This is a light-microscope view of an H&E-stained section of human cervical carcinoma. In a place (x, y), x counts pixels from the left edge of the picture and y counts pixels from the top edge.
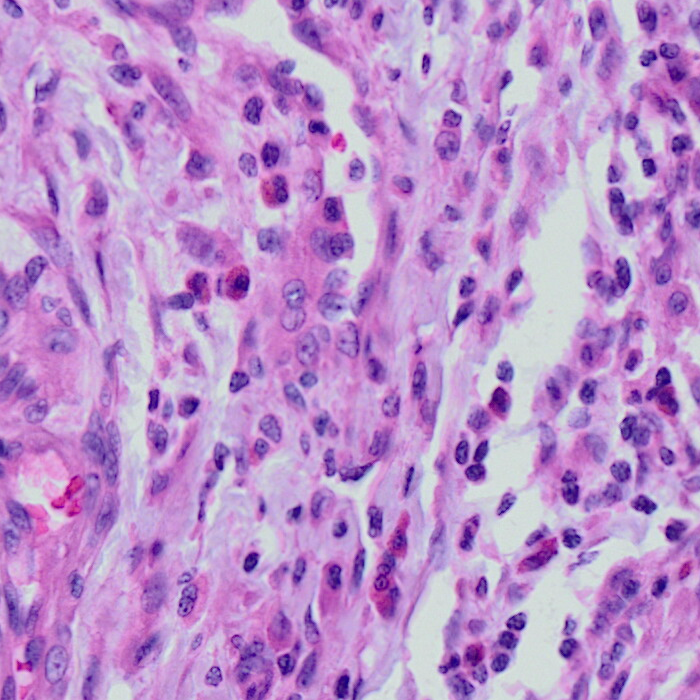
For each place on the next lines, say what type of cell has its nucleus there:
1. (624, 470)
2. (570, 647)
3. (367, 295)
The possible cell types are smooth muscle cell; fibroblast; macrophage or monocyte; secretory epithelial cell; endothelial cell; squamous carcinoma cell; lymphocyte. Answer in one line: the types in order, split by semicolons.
lymphocyte; lymphocyte; endothelial cell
